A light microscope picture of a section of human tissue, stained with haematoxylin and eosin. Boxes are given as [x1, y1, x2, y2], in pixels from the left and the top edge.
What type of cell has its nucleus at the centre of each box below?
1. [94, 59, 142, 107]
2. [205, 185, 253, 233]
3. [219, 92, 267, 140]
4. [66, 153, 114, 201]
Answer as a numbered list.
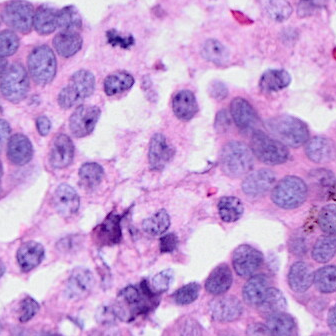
1. macrophage or monocyte
2. macrophage or monocyte
3. carcinoma cell
4. macrophage or monocyte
